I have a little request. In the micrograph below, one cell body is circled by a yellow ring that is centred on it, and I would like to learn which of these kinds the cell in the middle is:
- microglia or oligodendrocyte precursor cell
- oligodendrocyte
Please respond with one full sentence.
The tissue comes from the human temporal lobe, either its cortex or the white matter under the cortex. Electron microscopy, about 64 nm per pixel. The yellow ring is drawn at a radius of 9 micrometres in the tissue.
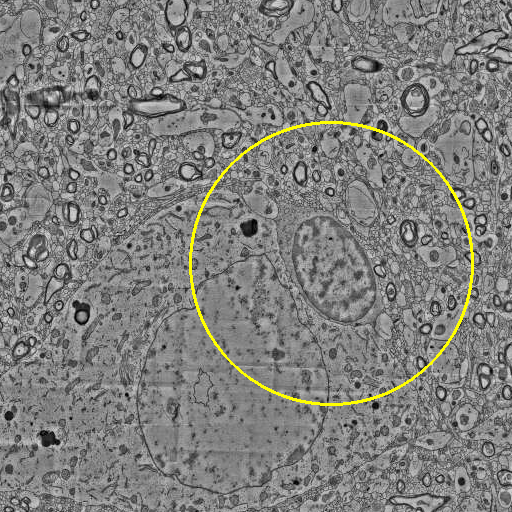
The cell sitting in the middle of the yellow ring in the micrograph is an oligodendrocyte.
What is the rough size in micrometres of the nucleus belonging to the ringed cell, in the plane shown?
The ringed cell's nucleus measures approximately 7 by 5 micrometres in this plane.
